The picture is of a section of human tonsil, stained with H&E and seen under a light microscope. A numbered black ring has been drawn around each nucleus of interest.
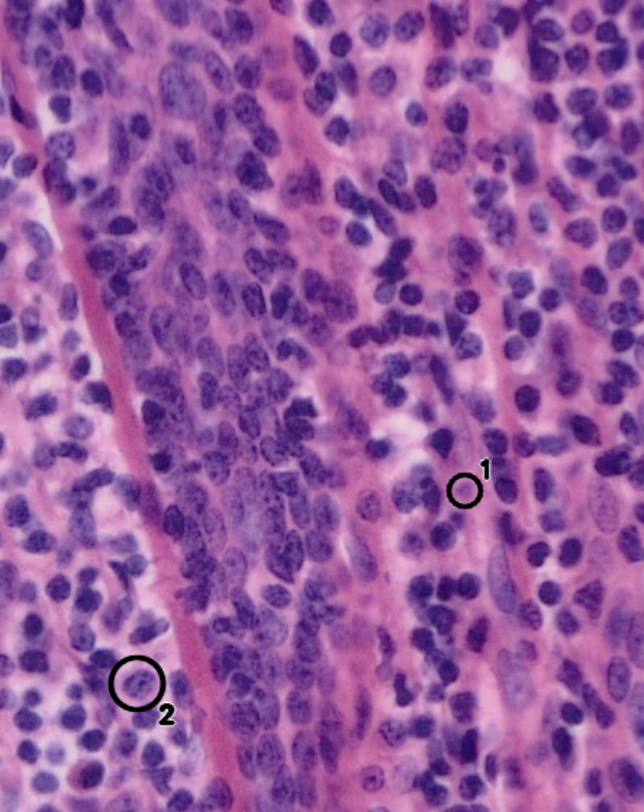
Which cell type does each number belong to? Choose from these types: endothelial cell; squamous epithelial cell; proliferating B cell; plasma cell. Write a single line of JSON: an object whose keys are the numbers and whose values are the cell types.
{"1": "endothelial cell", "2": "plasma cell"}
